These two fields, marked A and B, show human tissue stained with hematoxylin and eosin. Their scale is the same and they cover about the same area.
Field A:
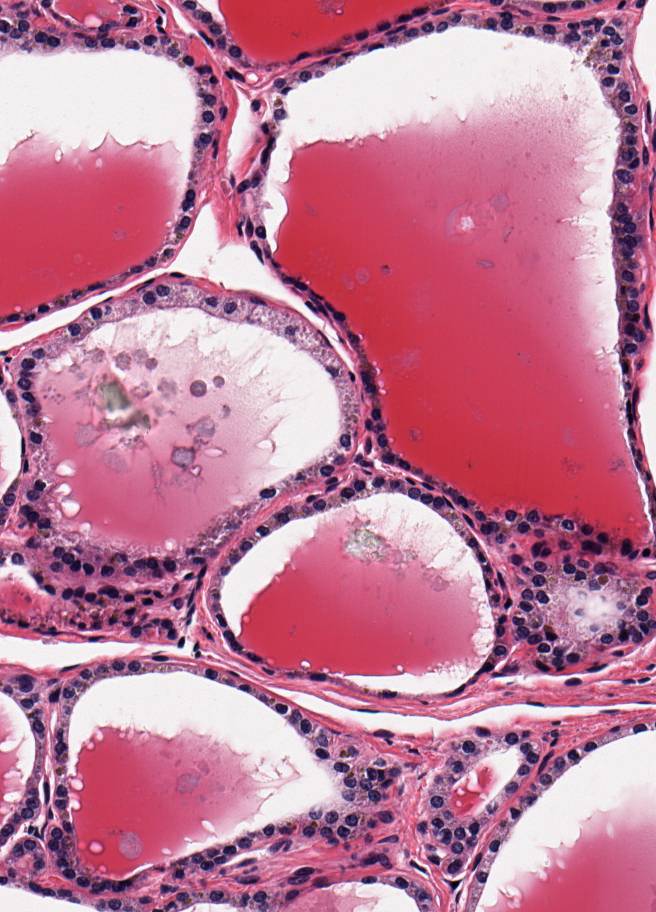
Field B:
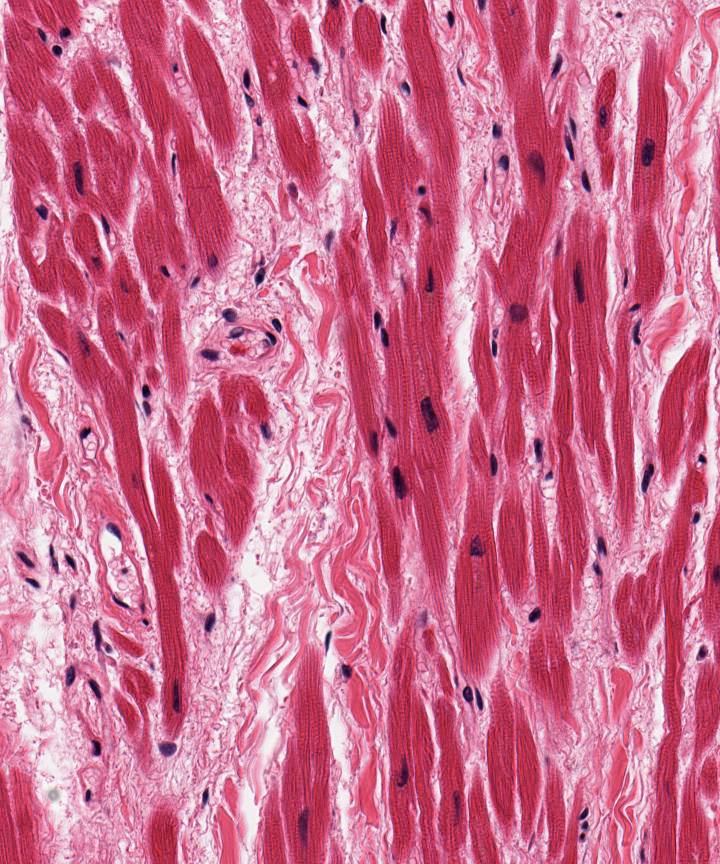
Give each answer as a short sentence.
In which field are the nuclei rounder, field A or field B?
It is field A whose nuclei are the rounder.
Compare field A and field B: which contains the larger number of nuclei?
The larger number of nuclei is in field A.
